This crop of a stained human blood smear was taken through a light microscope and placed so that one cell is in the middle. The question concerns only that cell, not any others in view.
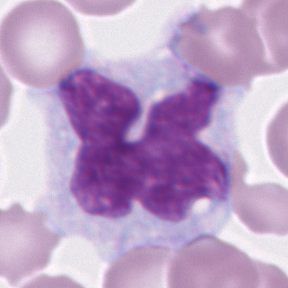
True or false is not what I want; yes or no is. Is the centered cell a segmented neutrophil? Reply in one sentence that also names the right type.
No, the cell placed in the centre is a monocyte and is not a segmented neutrophil.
